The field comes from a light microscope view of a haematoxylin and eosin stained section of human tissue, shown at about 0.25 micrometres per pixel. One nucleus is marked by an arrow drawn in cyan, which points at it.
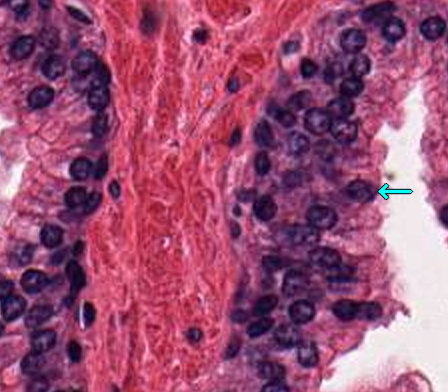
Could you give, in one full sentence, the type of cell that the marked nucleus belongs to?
The marked nucleus is that of a prostate gland luminal cell.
